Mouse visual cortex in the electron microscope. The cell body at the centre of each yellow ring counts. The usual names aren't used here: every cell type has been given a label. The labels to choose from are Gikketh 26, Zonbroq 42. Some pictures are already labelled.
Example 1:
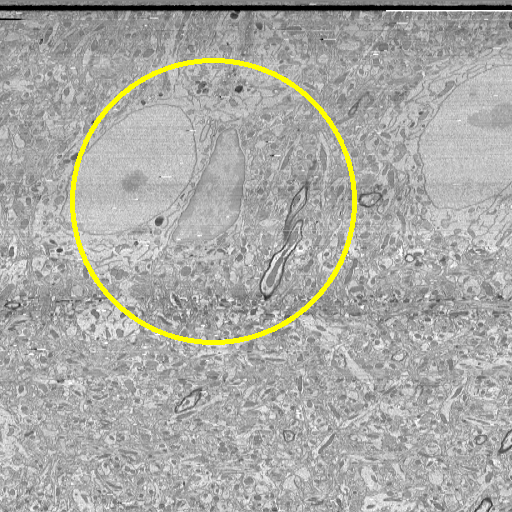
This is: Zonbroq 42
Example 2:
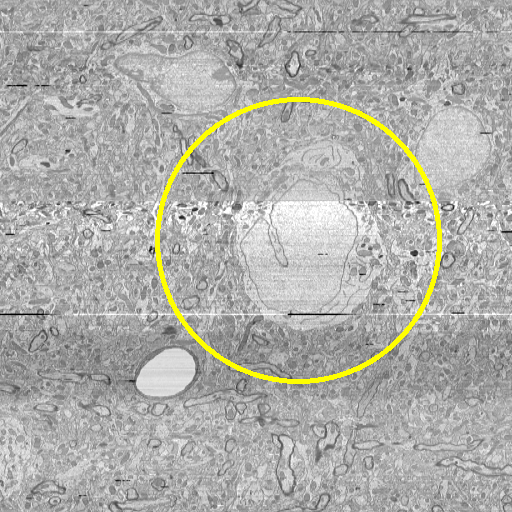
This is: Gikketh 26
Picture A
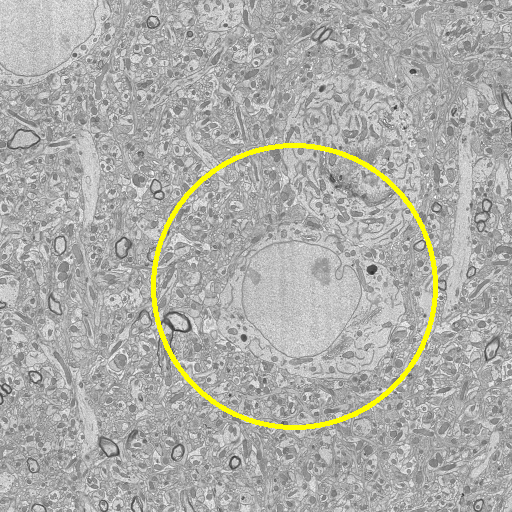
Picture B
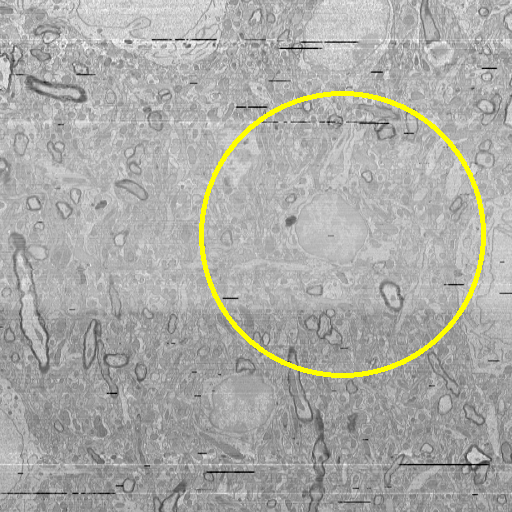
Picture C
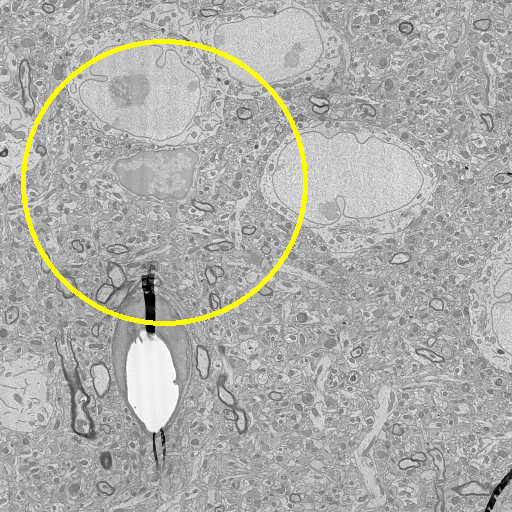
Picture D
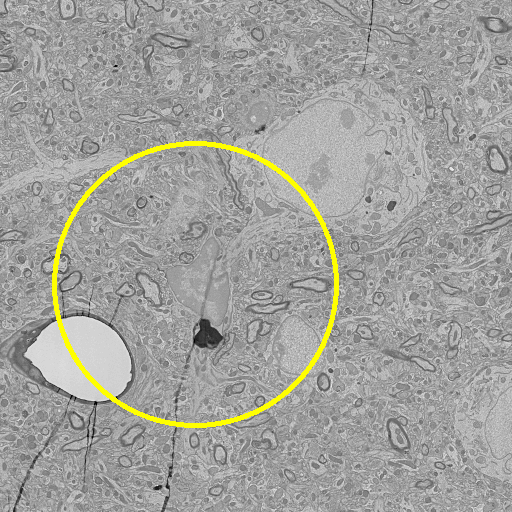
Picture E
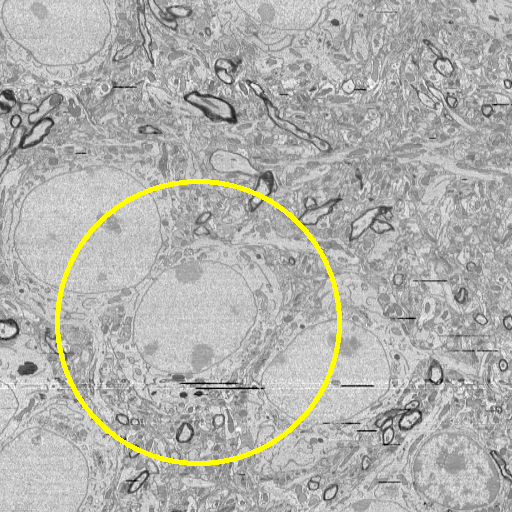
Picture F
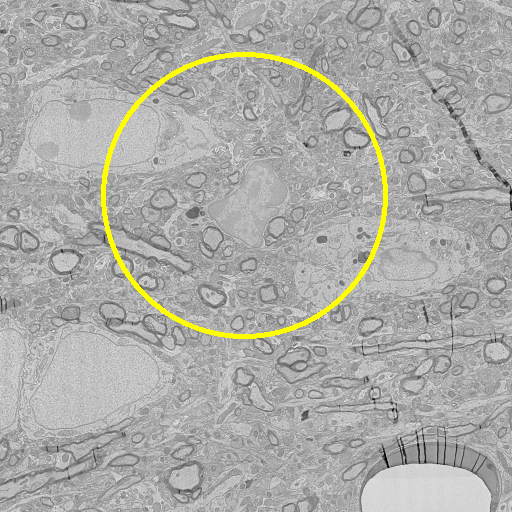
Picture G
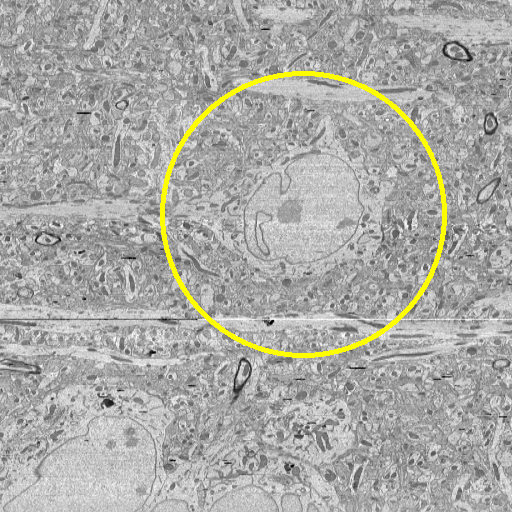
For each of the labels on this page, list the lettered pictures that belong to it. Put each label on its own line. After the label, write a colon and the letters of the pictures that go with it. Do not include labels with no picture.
Gikketh 26: A, E, G
Zonbroq 42: B, C, D, F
